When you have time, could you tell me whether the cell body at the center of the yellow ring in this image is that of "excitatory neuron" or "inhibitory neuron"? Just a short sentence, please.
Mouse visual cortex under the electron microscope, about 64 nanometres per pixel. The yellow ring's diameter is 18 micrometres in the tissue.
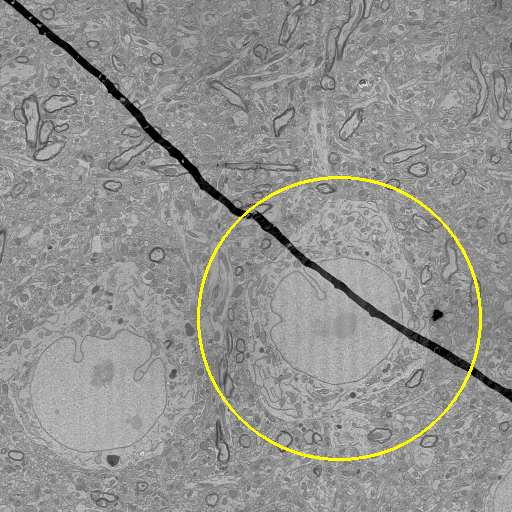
The cell body at the center of the ring is that of an inhibitory neuron.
